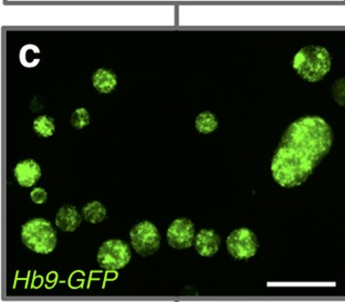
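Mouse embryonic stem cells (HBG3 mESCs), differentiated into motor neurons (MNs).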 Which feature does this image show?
Embryoid bodies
